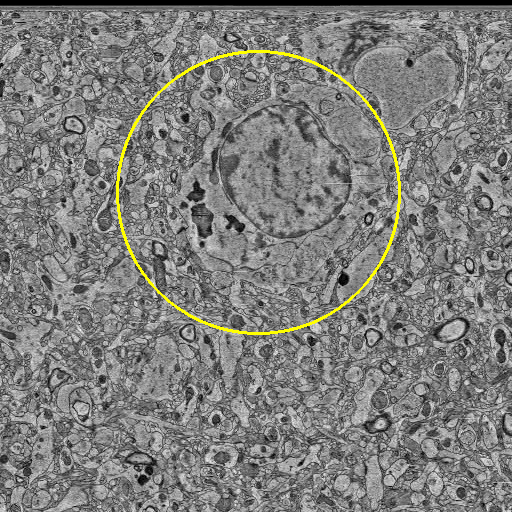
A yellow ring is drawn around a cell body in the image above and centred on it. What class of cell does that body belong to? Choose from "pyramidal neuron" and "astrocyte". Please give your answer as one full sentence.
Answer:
The yellow ring above is centred on the cell body of an astrocyte.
